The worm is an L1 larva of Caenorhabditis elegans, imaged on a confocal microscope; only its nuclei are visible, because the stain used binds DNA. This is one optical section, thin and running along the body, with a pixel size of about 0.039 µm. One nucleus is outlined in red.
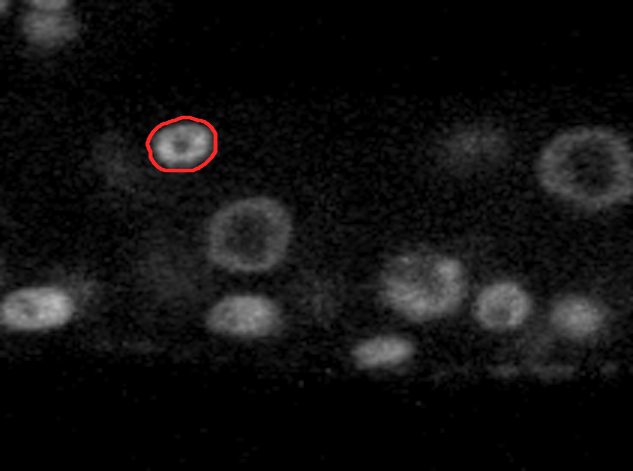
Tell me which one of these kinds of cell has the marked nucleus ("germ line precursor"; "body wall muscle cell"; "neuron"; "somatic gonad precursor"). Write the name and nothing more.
body wall muscle cell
